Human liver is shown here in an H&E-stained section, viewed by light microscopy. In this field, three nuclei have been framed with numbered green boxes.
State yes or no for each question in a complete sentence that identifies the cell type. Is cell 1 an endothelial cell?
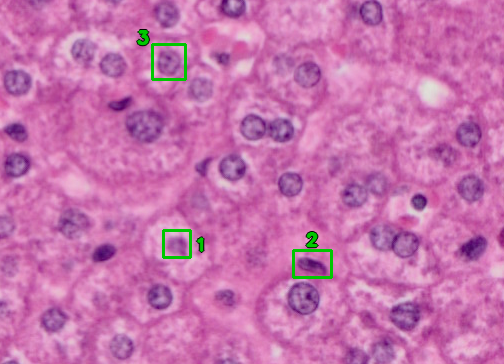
No, cell 1 is to be read as a hepatocyte, not an endothelial cell.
